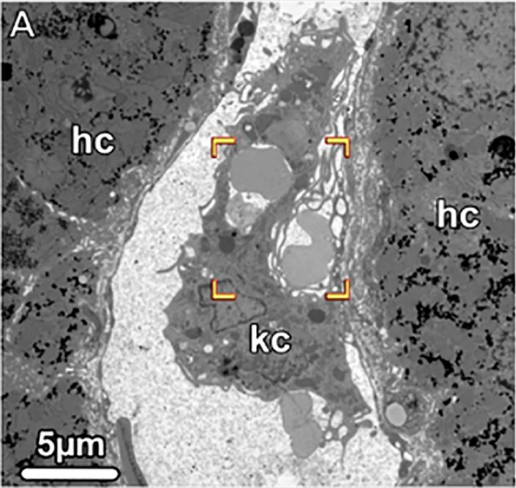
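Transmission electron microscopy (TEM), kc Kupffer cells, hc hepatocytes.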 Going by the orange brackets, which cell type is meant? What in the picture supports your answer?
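Round, homogeneous grey bodies lie within the bracketed area. The bodies are enclosed in the cytoplasm of a large irregular cell in the vessel lumen. They lack nuclei and organelles. The answer: damaged erythrocytes.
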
